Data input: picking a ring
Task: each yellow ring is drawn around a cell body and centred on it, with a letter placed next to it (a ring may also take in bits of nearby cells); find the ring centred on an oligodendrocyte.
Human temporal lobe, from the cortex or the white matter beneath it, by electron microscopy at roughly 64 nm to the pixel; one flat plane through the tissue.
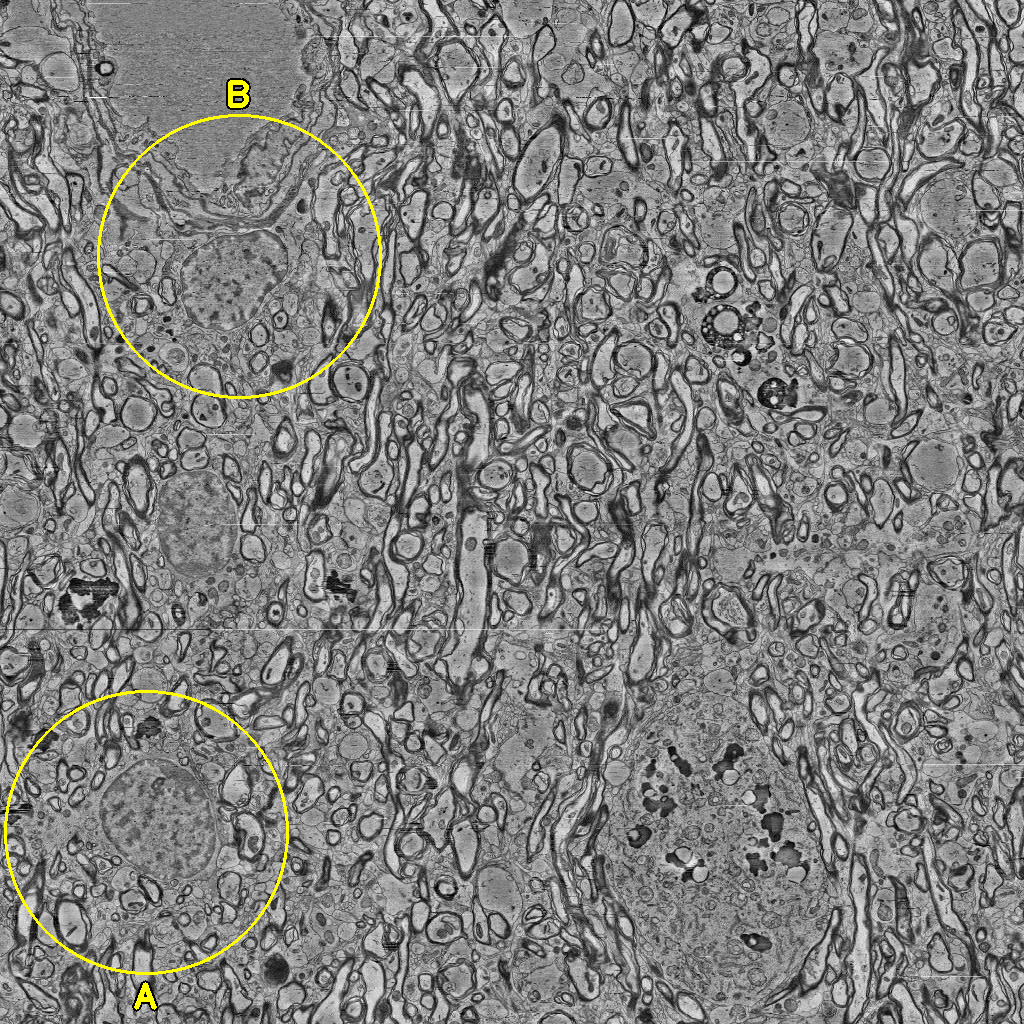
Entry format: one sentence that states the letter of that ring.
In the picture, the cell asked for sits at the centre of ring A.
